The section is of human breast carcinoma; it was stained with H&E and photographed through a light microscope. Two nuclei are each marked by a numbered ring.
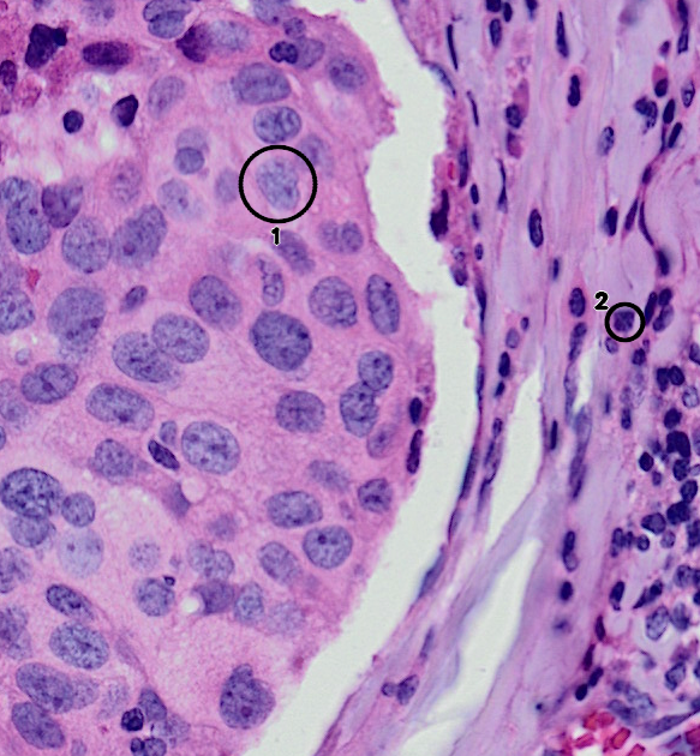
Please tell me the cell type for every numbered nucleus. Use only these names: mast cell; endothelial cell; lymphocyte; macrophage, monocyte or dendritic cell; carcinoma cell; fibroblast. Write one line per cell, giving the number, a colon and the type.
1: carcinoma cell
2: lymphocyte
